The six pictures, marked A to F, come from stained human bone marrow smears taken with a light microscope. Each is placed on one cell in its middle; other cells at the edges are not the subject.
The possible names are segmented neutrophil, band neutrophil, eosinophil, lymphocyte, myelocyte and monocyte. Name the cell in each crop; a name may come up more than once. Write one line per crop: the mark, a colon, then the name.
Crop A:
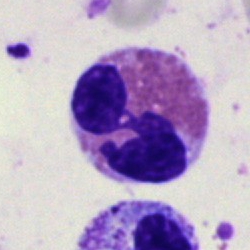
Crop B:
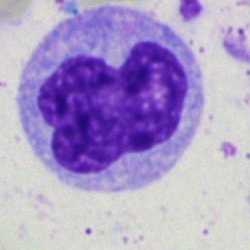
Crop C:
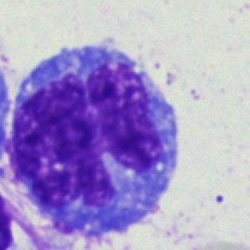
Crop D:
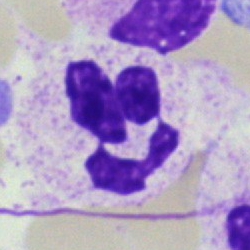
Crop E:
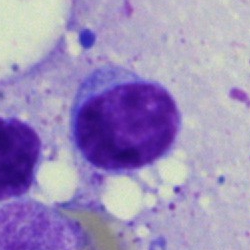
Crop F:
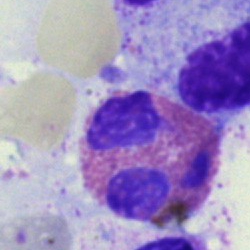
A: eosinophil
B: monocyte
C: monocyte
D: segmented neutrophil
E: lymphocyte
F: eosinophil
